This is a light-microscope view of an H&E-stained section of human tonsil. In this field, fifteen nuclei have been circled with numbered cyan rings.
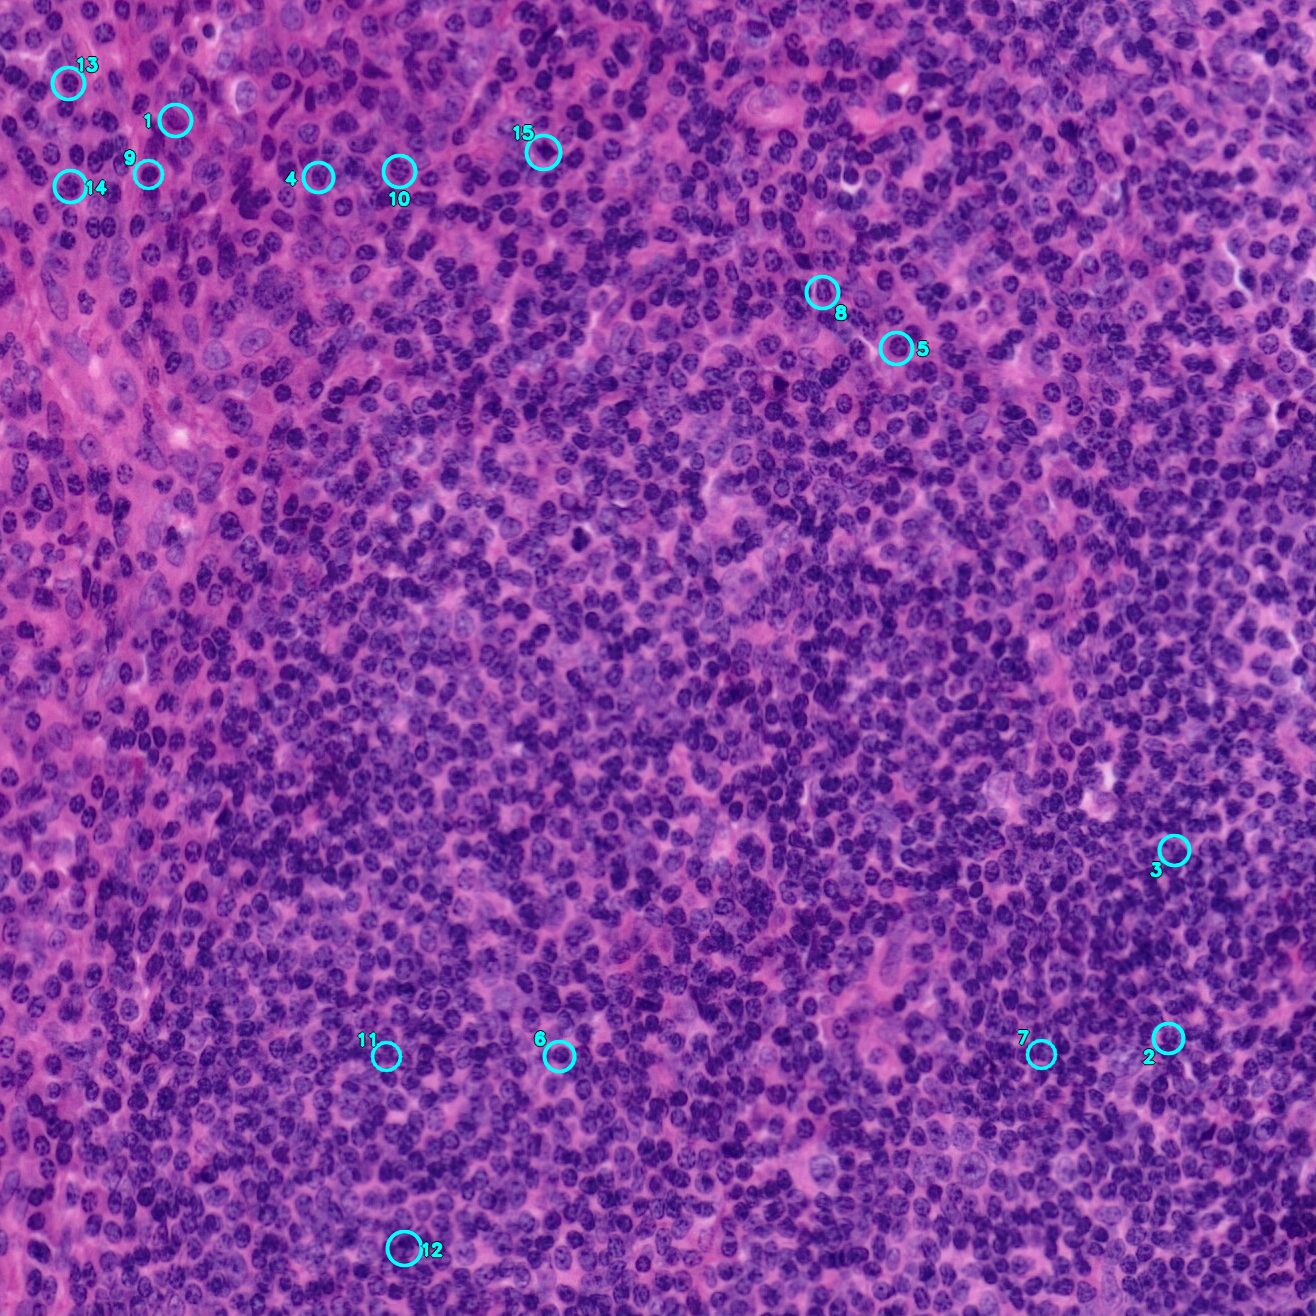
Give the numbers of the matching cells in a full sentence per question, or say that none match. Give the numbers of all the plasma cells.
Cells 4, 5, 8, 9, 10, 13, 14 and 15 are plasma cells by cell type.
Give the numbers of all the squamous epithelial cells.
In contrast to the remaining marked cells, cell 1 is a squamous epithelial cell.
